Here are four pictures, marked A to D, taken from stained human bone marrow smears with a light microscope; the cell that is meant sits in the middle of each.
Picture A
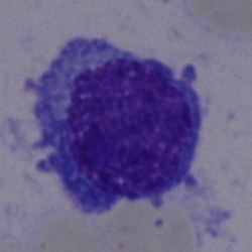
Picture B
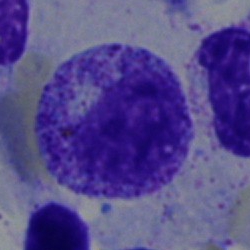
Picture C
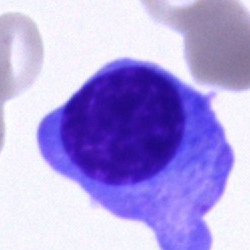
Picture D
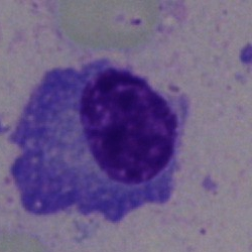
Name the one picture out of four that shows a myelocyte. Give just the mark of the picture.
B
